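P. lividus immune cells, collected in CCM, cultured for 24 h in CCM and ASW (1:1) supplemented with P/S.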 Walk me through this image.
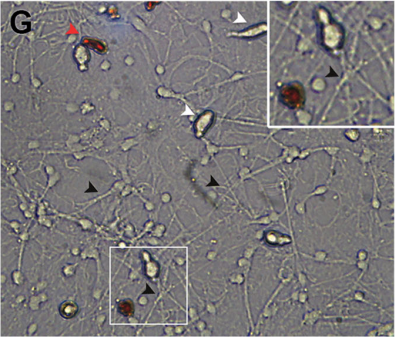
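The phagocyte bodies are small and the processes run as fine threads between them. Ovoid amoebocytes stand out as larger, smooth-edged cells; the colourless ones appear pale and elongated, while the red ones are filled with dark red granules.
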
